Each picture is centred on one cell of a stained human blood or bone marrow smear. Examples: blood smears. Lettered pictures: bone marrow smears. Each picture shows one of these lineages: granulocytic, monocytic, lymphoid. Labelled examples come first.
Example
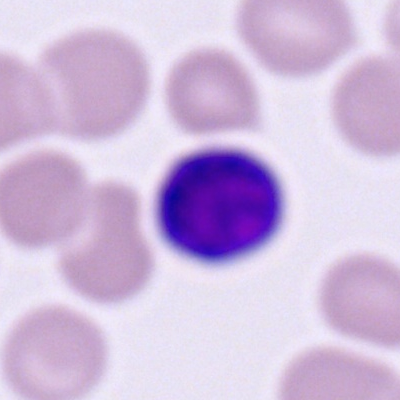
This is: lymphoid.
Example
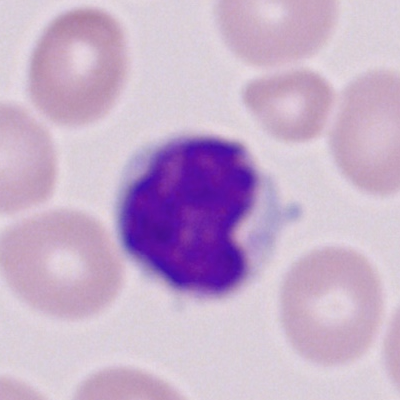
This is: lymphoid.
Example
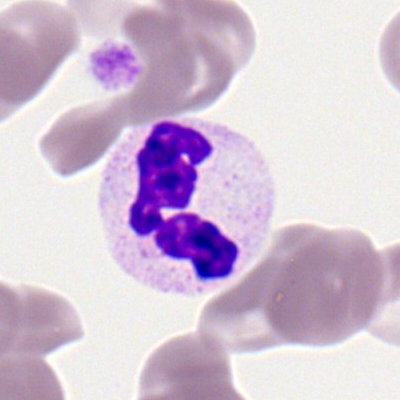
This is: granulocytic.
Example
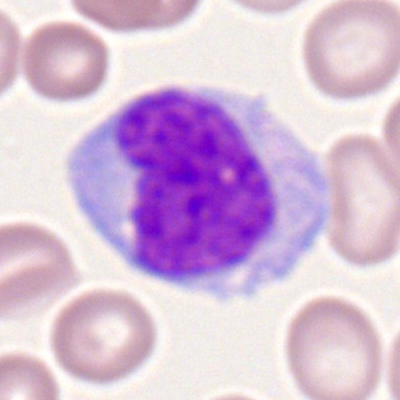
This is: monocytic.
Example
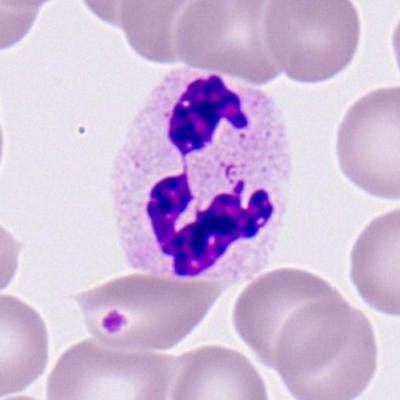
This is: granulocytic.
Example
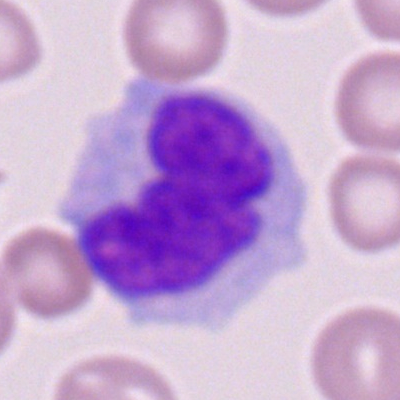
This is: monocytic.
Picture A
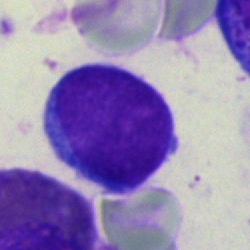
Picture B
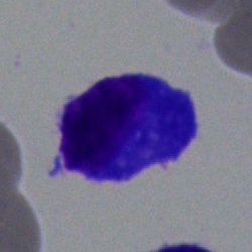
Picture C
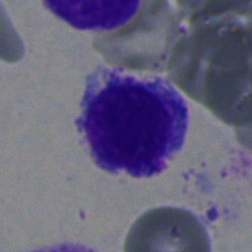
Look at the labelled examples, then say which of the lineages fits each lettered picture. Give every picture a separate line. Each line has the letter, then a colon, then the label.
A: lymphoid.
B: lymphoid.
C: lymphoid.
